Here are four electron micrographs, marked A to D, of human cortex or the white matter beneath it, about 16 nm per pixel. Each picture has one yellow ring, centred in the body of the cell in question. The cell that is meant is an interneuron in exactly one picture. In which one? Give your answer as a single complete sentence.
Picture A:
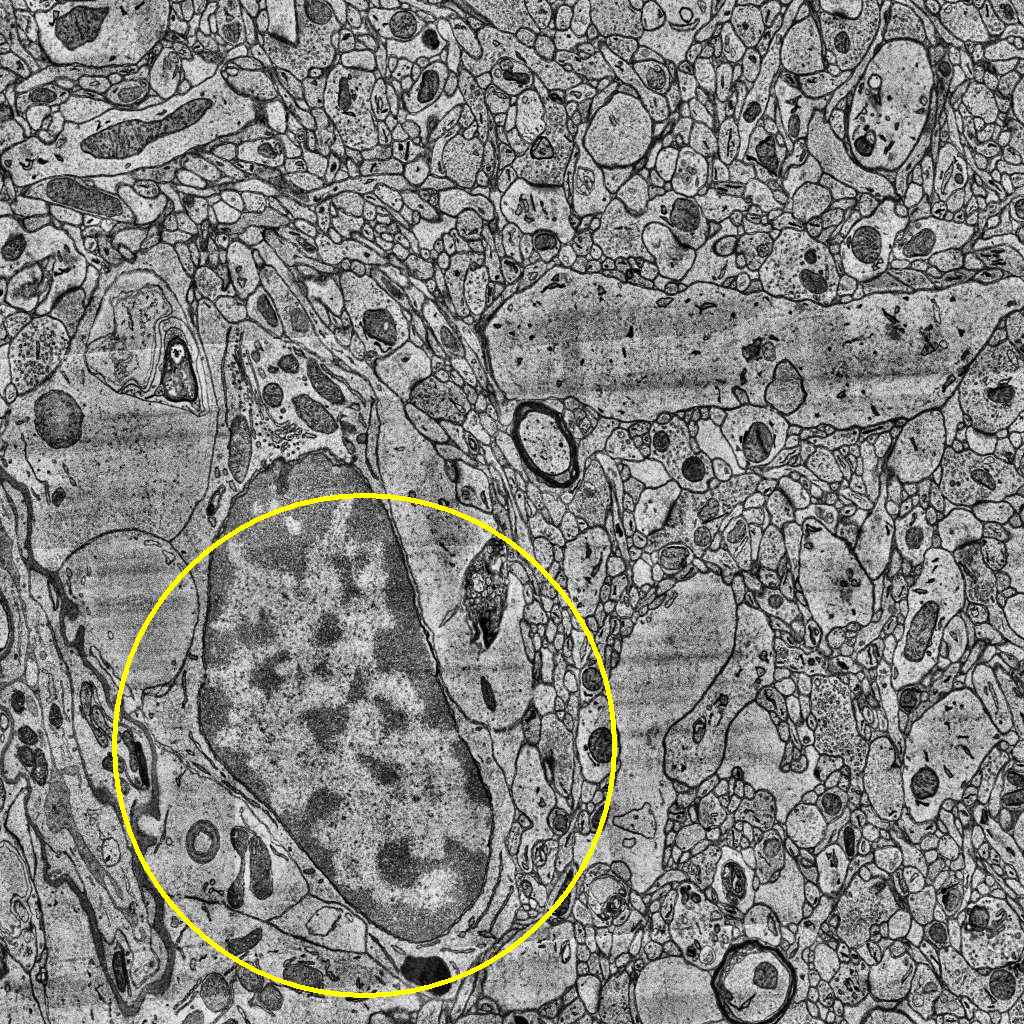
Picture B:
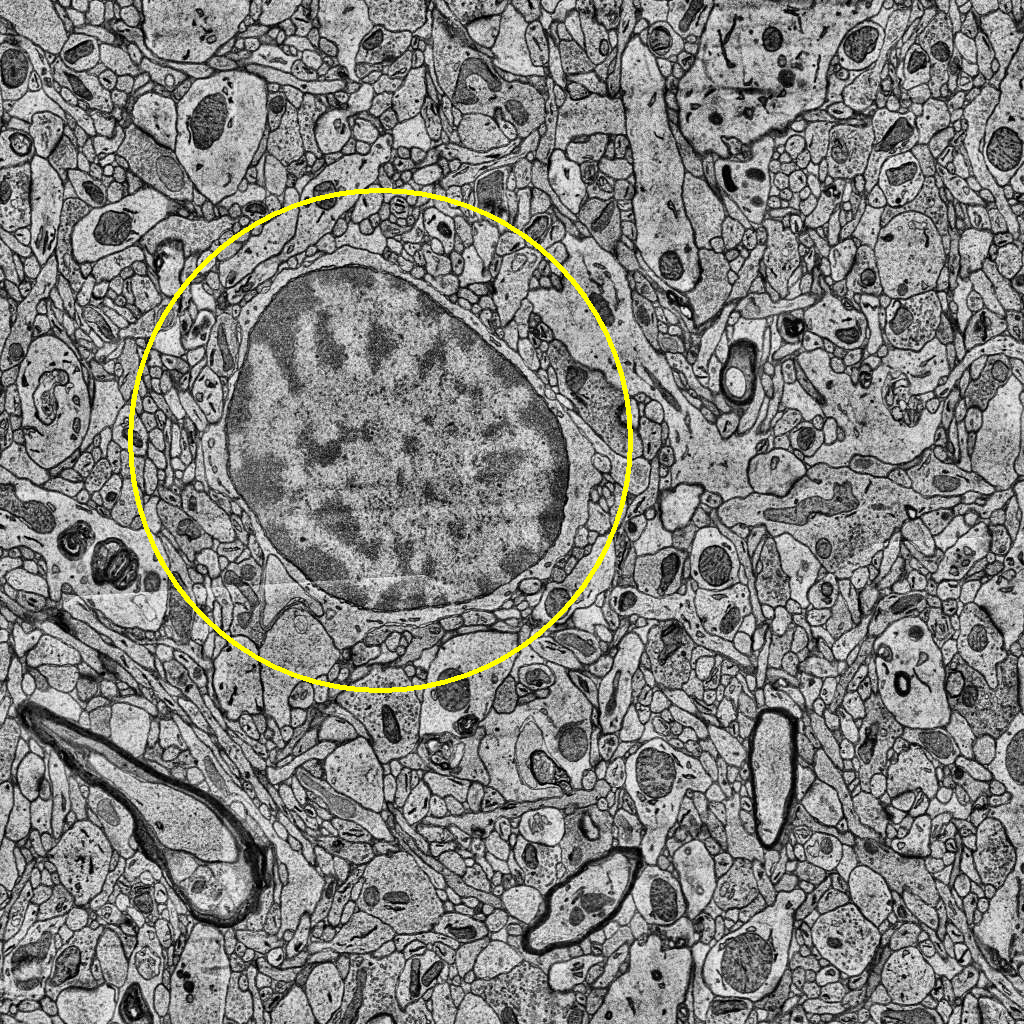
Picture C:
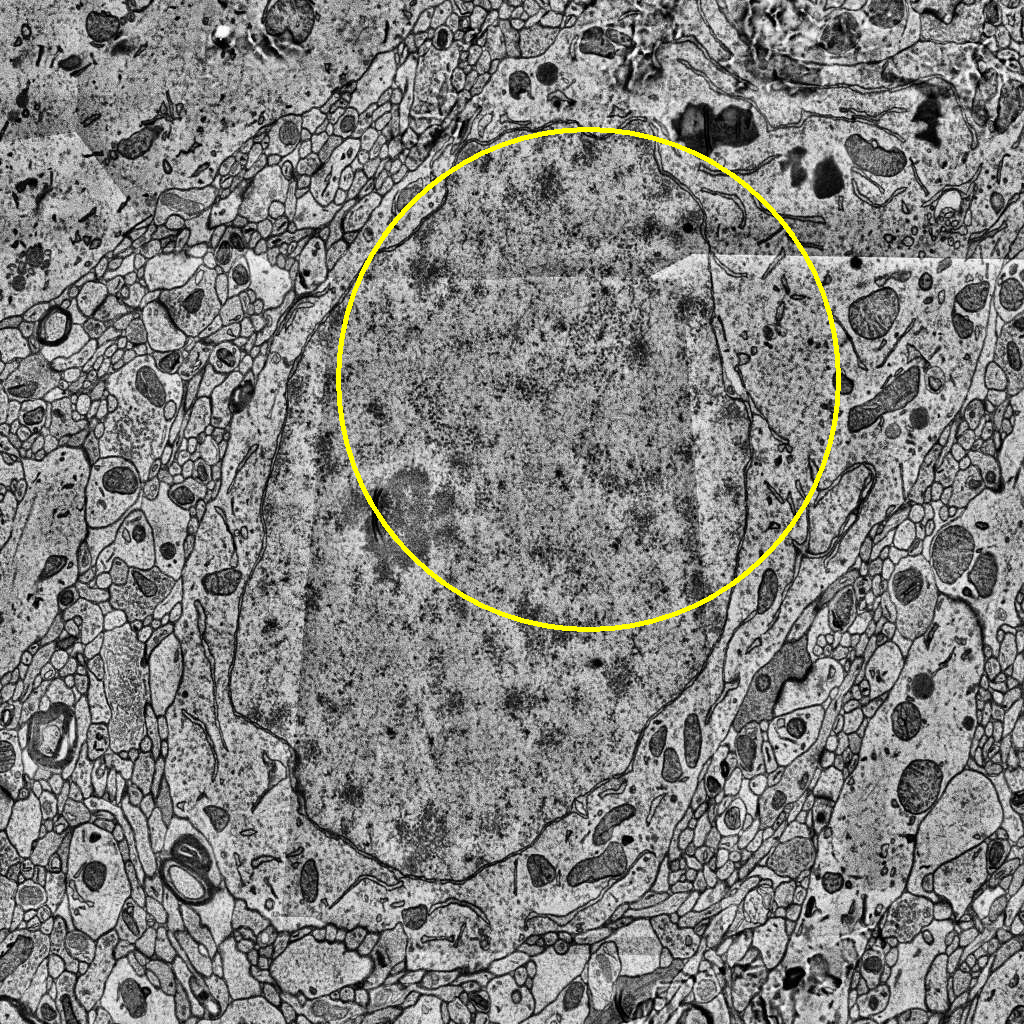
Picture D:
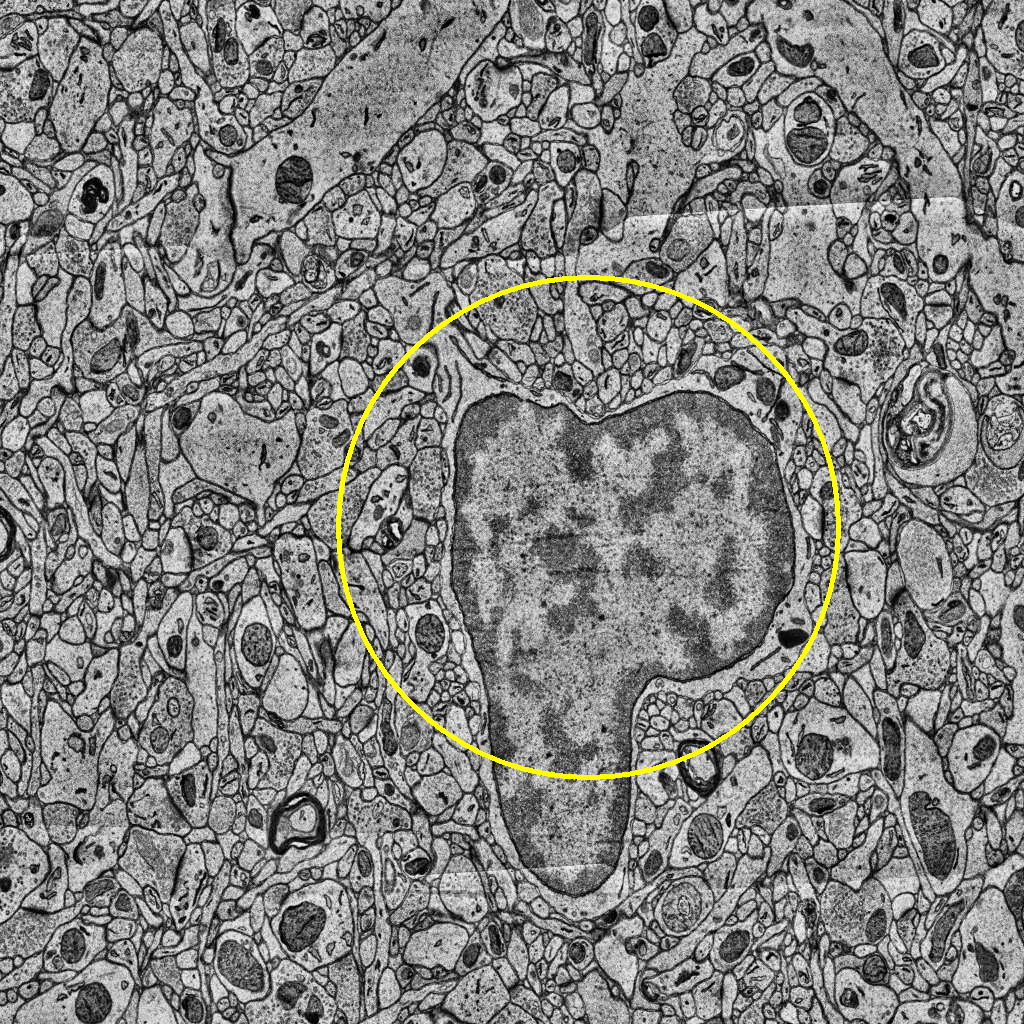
The cell in picture C is the interneuron.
